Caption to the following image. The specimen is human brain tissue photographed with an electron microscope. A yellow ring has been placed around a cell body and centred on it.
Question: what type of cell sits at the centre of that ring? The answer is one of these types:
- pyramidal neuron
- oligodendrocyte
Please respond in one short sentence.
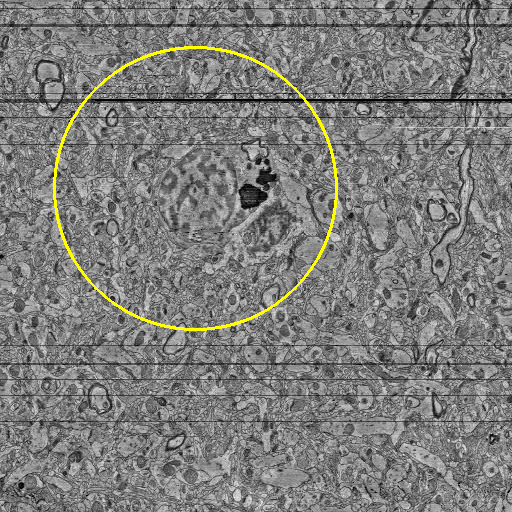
The ring surrounds the cell body of an oligodendrocyte.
